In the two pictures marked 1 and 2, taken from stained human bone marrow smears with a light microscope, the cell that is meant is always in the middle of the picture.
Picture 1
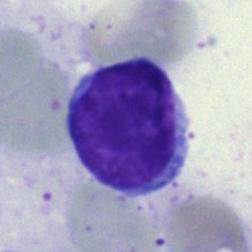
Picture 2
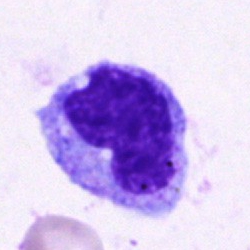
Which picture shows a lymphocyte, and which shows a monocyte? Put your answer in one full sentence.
The cell in picture 1 is a lymphocyte, and the one in picture 2 is a monocyte.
